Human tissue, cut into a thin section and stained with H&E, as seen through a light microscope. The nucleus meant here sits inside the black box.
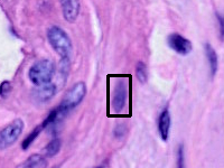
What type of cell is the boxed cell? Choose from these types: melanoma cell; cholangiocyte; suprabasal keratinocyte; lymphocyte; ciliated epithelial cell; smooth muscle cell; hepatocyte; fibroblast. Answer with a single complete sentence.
Microscopically, the boxed cell is categorized as a smooth muscle cell.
